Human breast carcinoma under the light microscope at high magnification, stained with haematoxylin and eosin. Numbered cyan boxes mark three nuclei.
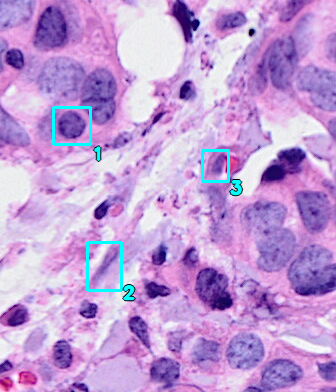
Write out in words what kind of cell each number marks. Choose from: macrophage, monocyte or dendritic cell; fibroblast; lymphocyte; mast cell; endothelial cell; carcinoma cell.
Cell 1 is a carcinoma cell. Cell 2 is a fibroblast. Cell 3 is an endothelial cell.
